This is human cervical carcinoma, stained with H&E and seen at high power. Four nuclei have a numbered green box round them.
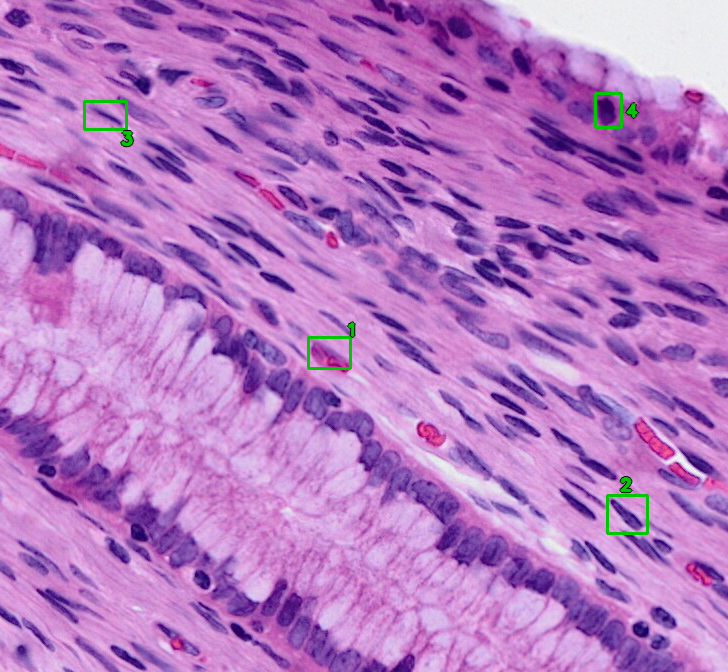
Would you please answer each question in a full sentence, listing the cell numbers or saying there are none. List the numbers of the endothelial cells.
Only the cell marked 1 is an endothelial cell.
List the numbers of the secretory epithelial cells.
It is only cell 4 that is a secretory epithelial cell among the numbered cells.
